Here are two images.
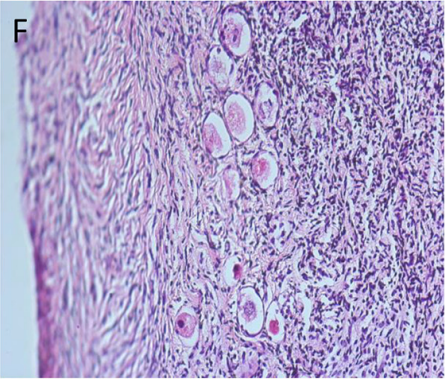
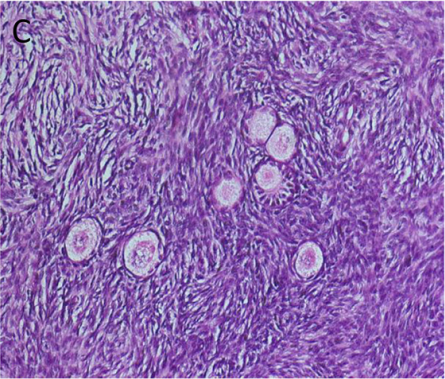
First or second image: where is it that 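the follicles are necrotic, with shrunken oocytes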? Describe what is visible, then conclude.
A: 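First image: oocytes are shrunken and retracted, leaving clear spaces, some with dark condensed material. Second image: follicles are round with oocytes filling them and an intact surrounding cell layer.
Answer: the first image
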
